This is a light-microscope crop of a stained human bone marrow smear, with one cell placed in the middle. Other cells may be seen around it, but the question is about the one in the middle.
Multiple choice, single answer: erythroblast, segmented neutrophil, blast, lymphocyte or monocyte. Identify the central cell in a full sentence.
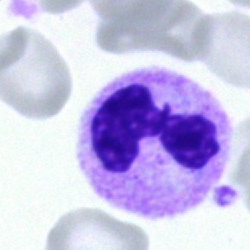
In the centre of this crop there is a segmented neutrophil.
